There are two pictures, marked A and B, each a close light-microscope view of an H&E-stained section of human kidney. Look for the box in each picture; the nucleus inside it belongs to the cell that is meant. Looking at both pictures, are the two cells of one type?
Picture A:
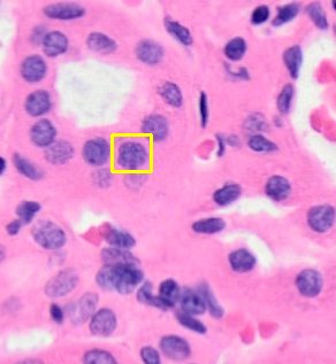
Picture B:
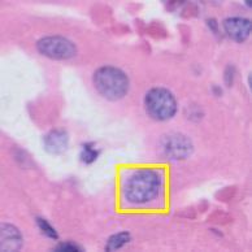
no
